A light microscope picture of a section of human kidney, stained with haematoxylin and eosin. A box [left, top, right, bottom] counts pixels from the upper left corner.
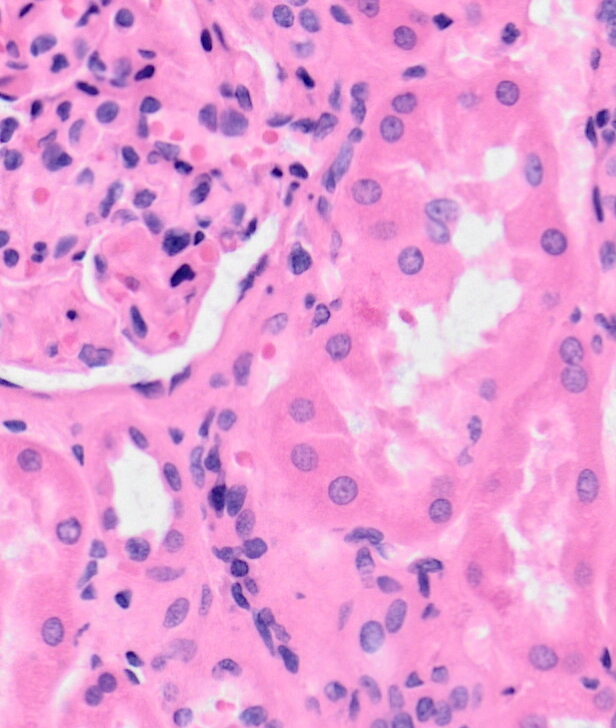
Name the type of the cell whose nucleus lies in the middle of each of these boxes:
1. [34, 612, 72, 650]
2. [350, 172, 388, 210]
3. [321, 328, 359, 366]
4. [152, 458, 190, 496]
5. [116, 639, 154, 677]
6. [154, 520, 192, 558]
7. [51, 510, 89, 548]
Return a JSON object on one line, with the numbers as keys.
{"1": "proximal tubule cell", "2": "proximal tubule cell", "3": "proximal tubule cell", "4": "loop of Henle or distal tubule cell", "5": "endothelial cell", "6": "loop of Henle or distal tubule cell", "7": "proximal tubule cell"}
